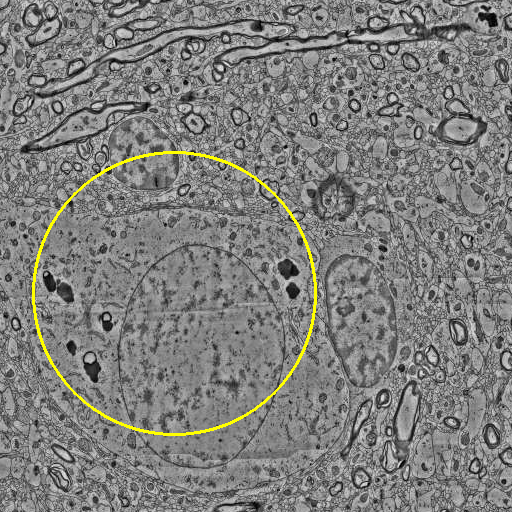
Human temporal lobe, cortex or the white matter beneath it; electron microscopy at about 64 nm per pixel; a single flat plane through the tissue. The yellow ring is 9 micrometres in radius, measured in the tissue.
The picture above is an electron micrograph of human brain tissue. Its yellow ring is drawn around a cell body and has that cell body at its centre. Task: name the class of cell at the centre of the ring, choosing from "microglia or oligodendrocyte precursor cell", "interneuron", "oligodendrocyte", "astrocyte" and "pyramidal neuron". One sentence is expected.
The ring surrounds the body of a pyramidal neuron.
